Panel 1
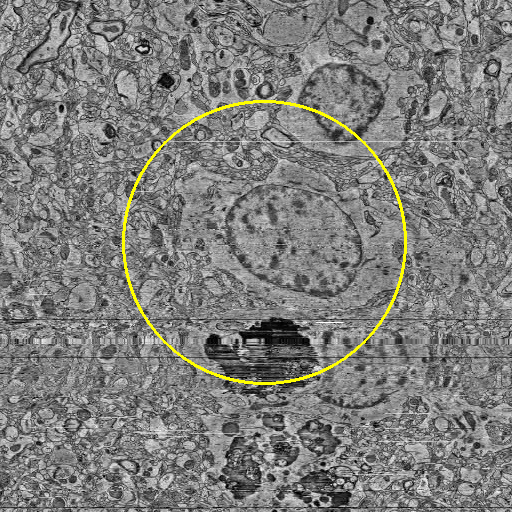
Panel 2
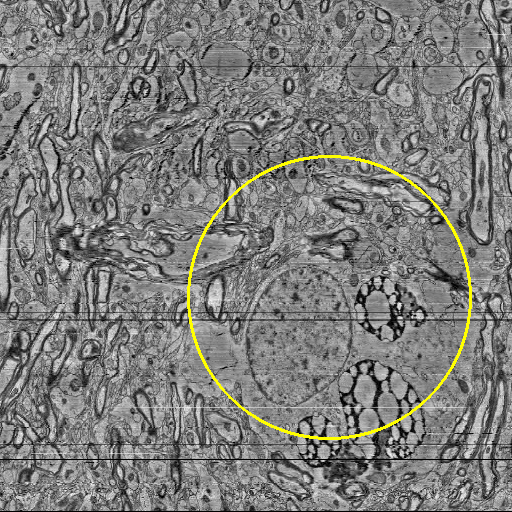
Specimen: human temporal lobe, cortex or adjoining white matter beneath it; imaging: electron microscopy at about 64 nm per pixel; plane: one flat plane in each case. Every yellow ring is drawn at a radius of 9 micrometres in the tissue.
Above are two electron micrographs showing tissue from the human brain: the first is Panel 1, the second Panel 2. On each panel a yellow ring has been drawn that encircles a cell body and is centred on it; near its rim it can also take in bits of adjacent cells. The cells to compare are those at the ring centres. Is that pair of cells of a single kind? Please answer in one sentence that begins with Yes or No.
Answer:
Yes, the ring-centred cells of Panel 1 and Panel 2 belong to one kind.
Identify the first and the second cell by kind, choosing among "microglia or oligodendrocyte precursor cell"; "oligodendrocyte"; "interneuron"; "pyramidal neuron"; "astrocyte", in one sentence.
The second cell is an astrocyte, just as the first is.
